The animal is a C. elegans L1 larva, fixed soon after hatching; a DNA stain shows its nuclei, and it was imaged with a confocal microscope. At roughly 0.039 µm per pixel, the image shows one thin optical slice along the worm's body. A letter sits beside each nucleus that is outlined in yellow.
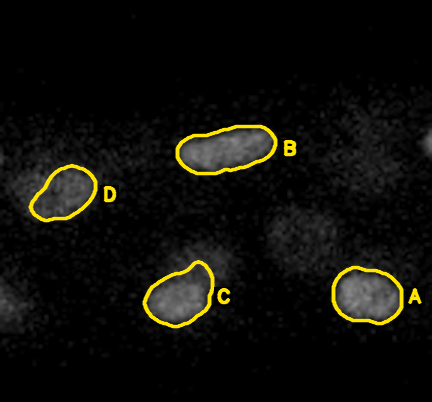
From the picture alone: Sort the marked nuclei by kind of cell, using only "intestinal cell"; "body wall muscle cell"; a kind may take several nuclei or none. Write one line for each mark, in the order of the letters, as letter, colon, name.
A: body wall muscle cell
B: body wall muscle cell
C: body wall muscle cell
D: intestinal cell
